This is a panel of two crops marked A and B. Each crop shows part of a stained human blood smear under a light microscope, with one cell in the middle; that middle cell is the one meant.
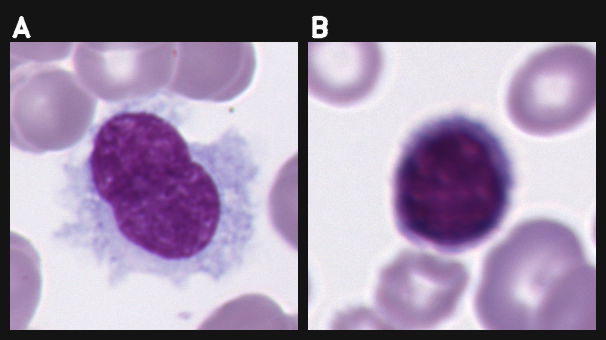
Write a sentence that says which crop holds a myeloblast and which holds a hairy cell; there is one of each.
Crop A is classified as a hairy cell, and crop B as a myeloblast.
